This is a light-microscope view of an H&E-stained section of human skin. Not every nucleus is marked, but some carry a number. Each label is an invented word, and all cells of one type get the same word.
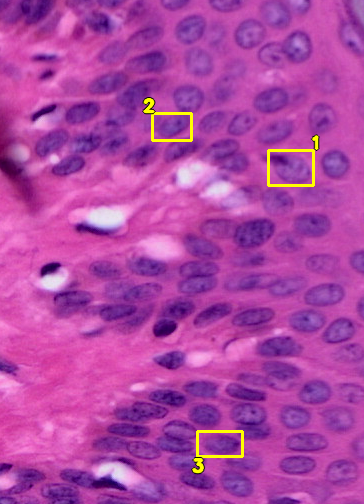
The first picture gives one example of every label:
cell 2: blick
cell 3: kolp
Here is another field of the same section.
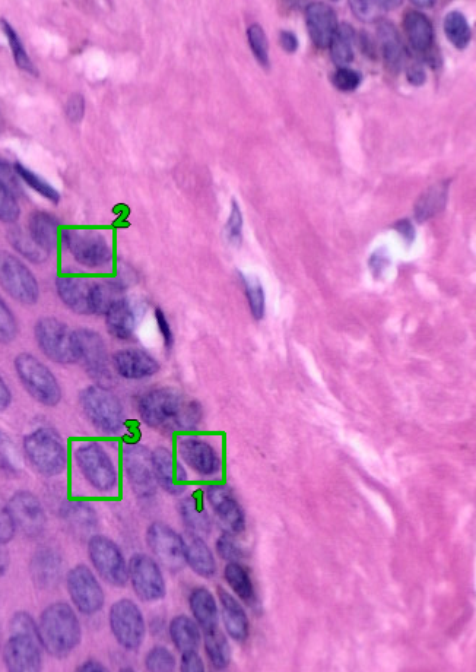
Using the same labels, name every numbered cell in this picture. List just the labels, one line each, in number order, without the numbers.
blick
blick
kolp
